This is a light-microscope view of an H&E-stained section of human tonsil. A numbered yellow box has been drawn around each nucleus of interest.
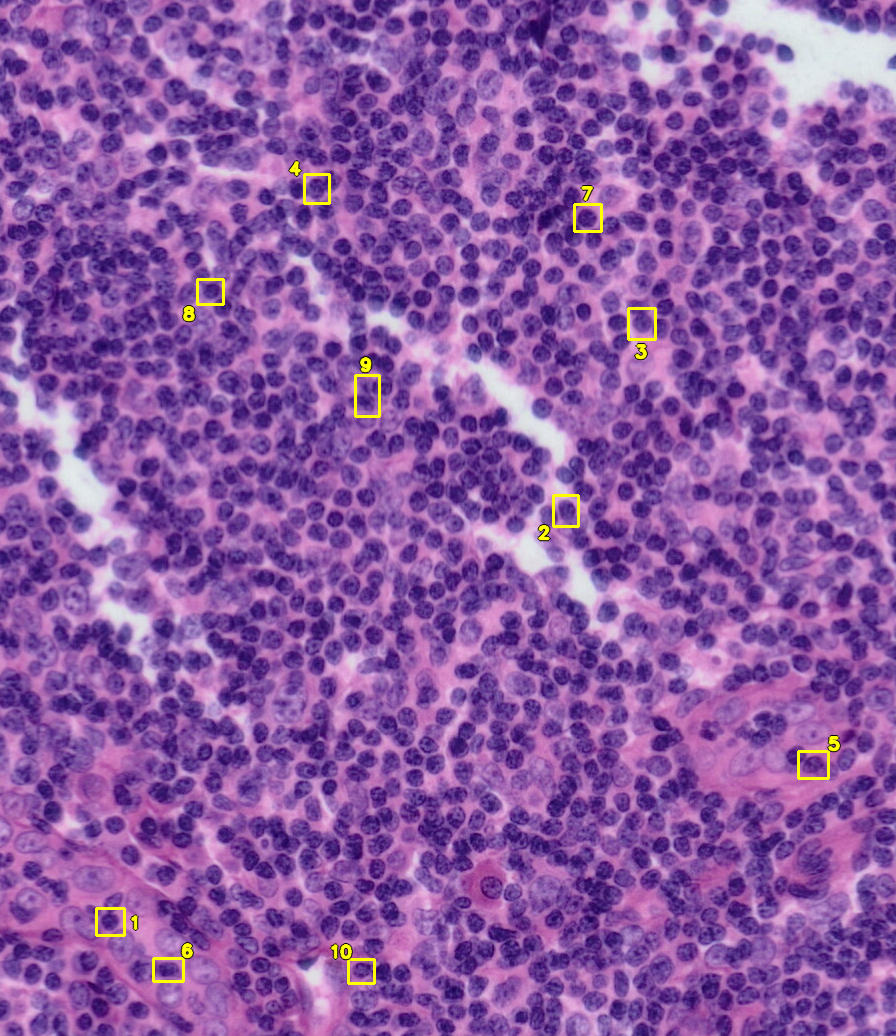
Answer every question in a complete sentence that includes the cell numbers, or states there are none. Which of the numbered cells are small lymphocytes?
The cells the numbers 2, 3, 4, 7, 8 and 9 point to are small lymphocytes.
